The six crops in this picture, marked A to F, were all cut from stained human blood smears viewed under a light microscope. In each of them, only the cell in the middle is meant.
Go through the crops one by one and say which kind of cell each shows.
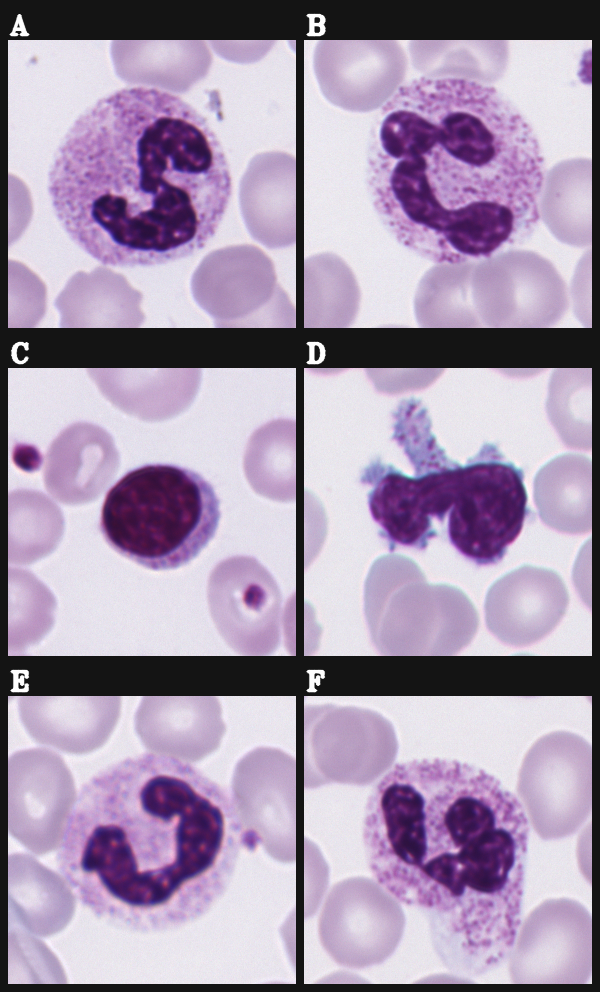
A: segmented neutrophil
B: segmented neutrophil
C: large granular lymphocyte
D: large granular lymphocyte
E: segmented neutrophil
F: segmented neutrophil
